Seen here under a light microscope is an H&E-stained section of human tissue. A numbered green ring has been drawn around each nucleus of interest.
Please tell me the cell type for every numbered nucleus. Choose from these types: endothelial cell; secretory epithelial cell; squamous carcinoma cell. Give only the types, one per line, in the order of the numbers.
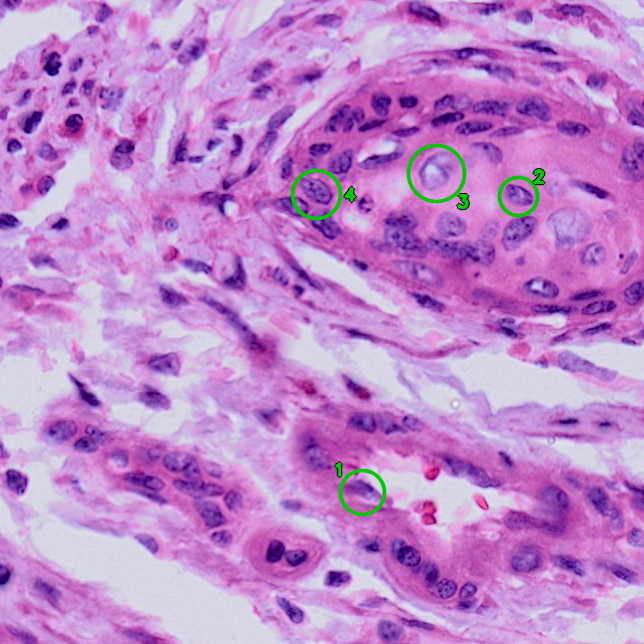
endothelial cell
squamous carcinoma cell
squamous carcinoma cell
squamous carcinoma cell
